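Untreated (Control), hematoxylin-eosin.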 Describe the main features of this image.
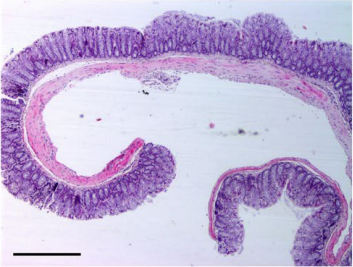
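A folded section of colon wall shows a mucosa of straight, evenly spaced tubular crypts lined by purple epithelium, with the crypt bases resting on a thin submucosa. The layers are regular and nothing abnormal stands out.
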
